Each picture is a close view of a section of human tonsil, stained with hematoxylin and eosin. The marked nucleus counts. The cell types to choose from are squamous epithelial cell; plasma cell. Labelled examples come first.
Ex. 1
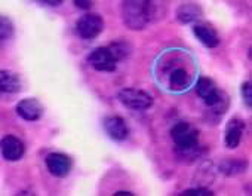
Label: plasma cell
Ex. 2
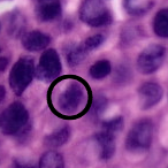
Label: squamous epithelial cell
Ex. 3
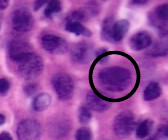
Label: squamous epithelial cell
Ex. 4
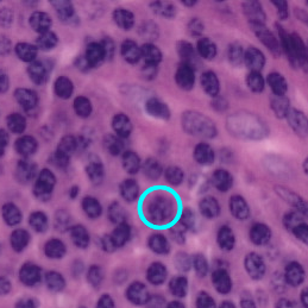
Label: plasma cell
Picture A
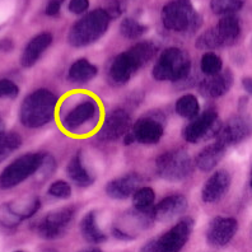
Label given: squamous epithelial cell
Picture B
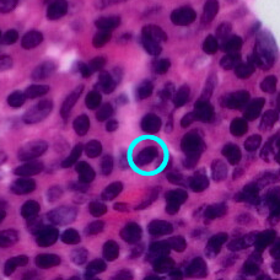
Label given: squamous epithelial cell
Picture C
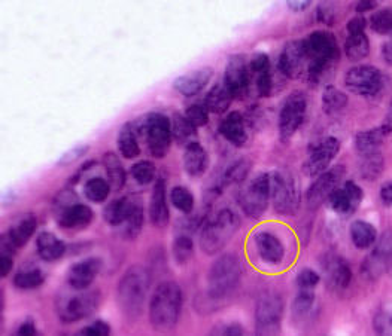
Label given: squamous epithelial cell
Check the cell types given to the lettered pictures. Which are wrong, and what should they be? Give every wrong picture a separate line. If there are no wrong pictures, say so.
B: plasma cell, not squamous epithelial cell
